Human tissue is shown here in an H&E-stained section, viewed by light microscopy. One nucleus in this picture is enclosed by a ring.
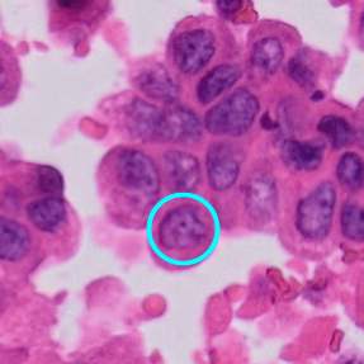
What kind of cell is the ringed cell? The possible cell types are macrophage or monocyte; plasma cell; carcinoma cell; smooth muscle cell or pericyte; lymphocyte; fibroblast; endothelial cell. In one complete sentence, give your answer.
It is as a carcinoma cell that the ringed cell is classified.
